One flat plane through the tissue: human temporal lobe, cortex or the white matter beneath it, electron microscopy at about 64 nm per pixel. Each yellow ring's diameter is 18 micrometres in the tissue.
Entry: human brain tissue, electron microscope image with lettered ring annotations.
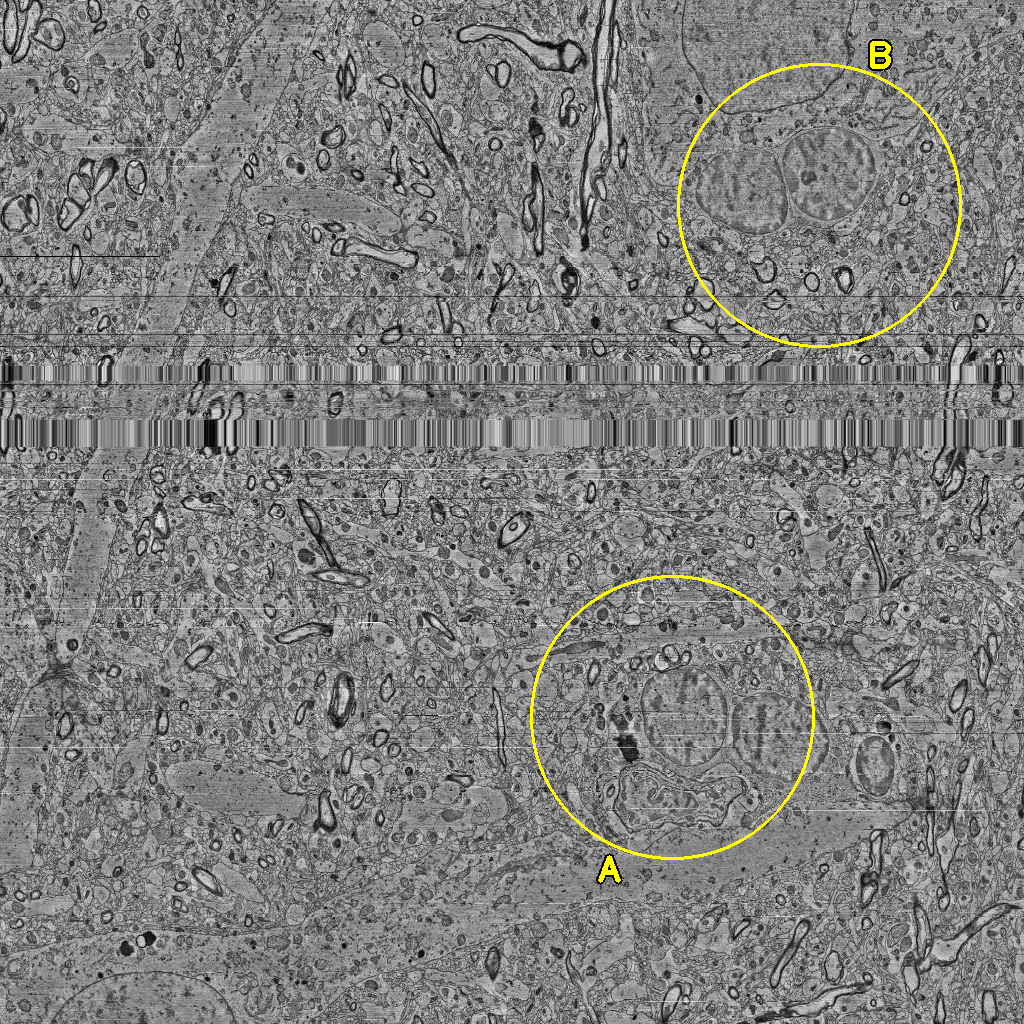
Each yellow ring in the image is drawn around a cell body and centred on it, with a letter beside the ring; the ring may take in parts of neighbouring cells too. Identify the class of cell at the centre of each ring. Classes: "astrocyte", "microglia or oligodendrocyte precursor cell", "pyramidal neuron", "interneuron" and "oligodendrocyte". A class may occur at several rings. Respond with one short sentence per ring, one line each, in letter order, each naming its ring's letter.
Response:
Ring A holds an oligodendrocyte at its centre.
Ring B holds an oligodendrocyte at its centre.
